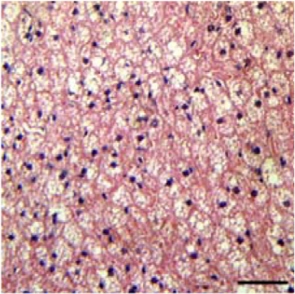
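This is brown fat: a dense sheet of polygonal adipocytes whose pink cytoplasm is filled with many small pale lipid droplets rather than one large one. Their round, dark blue nuclei sit more or less centrally and are numerous across the field, giving the tissue a compact, foamy look.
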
